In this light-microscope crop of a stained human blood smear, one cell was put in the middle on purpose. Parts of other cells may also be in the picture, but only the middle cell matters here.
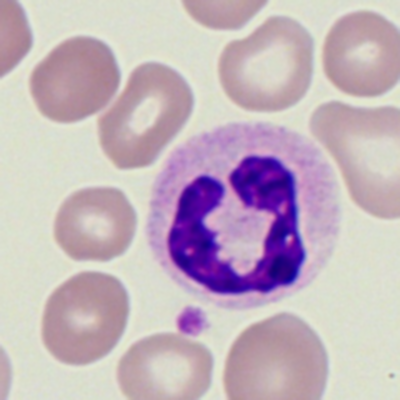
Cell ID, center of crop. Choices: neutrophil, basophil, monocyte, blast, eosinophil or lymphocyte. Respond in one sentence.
Present in the middle of the crop is a neutrophil.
